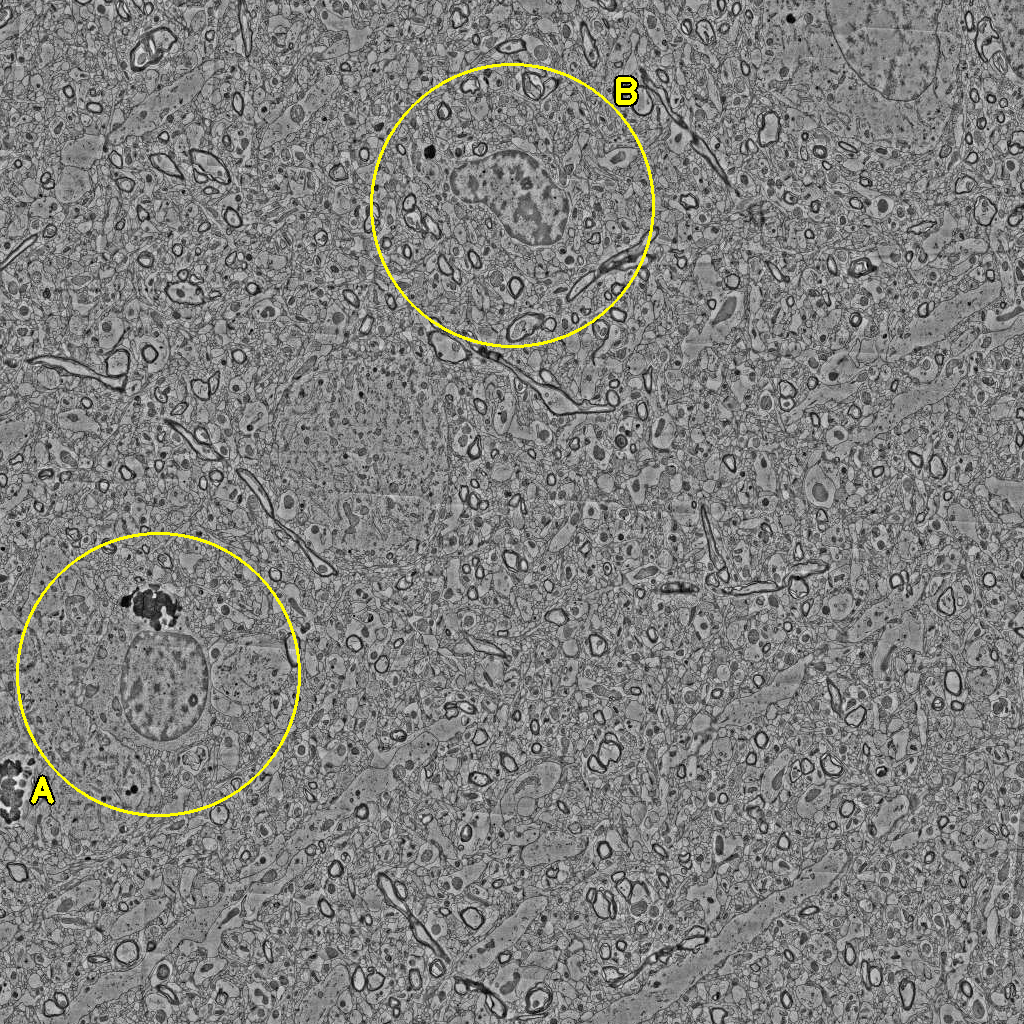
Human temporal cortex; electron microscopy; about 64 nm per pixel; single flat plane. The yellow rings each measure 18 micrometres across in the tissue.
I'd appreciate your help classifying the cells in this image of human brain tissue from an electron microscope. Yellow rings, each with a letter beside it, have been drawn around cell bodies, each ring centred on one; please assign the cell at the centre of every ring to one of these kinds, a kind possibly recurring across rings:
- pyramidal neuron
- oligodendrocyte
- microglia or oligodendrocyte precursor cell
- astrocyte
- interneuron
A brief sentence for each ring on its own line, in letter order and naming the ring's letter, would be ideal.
In ring A, the central cell is an oligodendrocyte.
In ring B, the central cell is a microglial cell or oligodendrocyte precursor cell.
